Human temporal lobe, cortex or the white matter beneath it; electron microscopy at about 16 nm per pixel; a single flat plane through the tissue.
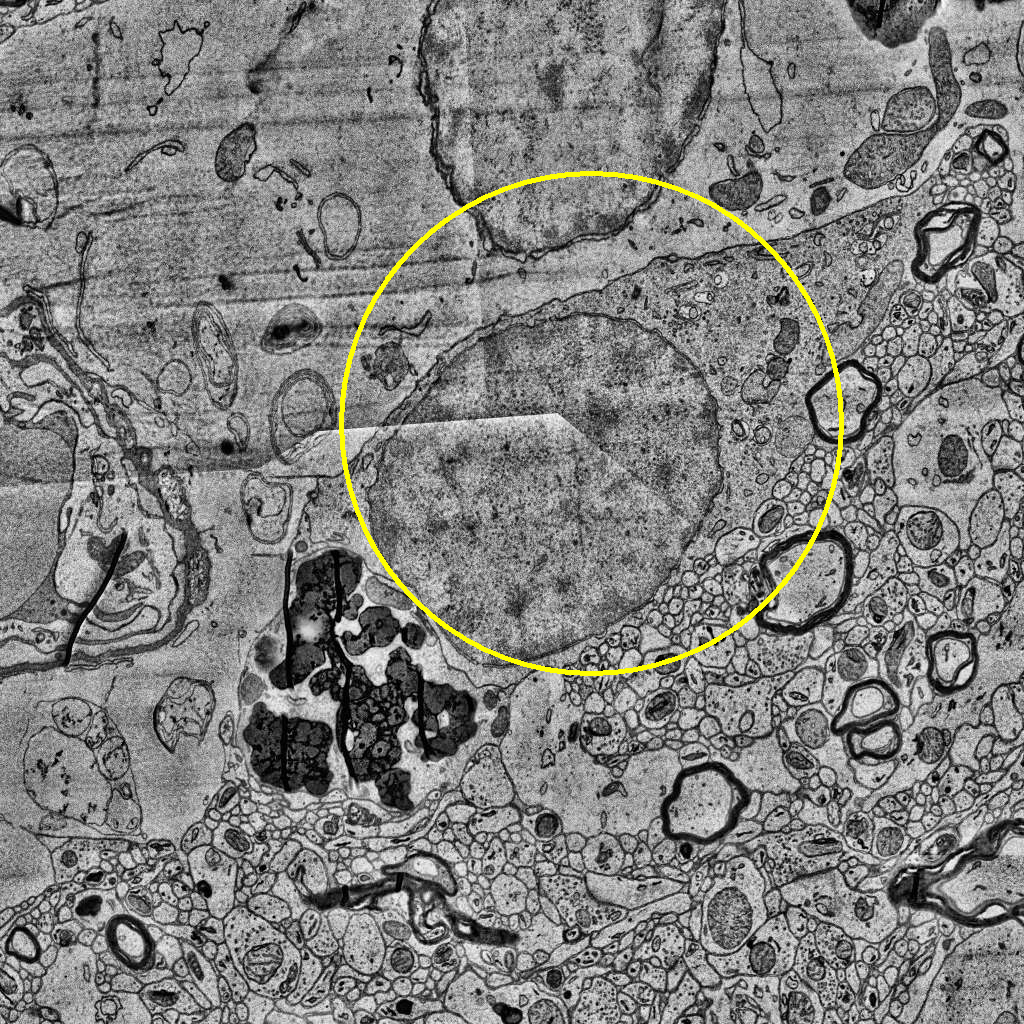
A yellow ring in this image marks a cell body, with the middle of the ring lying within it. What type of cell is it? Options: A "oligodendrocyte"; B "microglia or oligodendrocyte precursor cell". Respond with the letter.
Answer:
A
